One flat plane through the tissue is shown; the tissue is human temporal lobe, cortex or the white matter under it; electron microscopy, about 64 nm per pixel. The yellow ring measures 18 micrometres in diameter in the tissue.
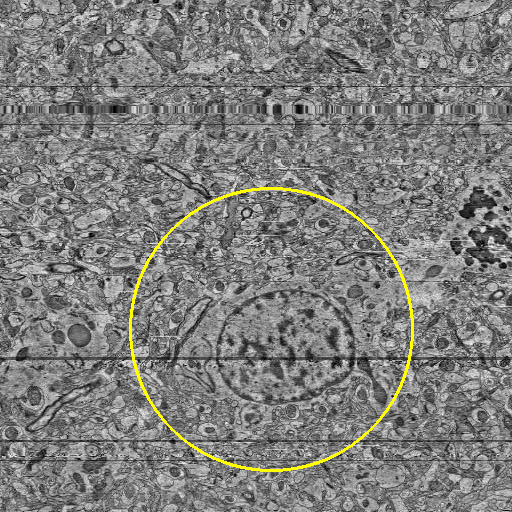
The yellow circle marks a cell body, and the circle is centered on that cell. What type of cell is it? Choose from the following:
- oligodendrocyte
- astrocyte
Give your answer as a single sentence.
This cell body belongs to an astrocyte.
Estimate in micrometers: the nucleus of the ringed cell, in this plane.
About 10 by 7 micrometers, in this plane.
